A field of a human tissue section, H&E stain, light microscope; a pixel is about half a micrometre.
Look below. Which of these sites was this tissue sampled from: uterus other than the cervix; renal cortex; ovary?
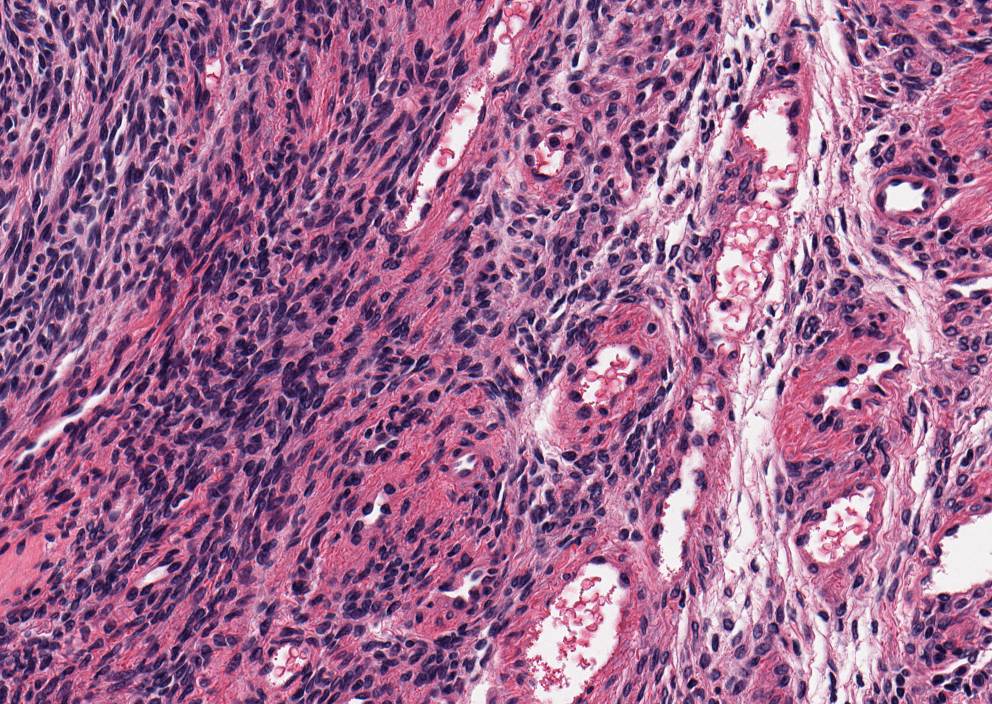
ovary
